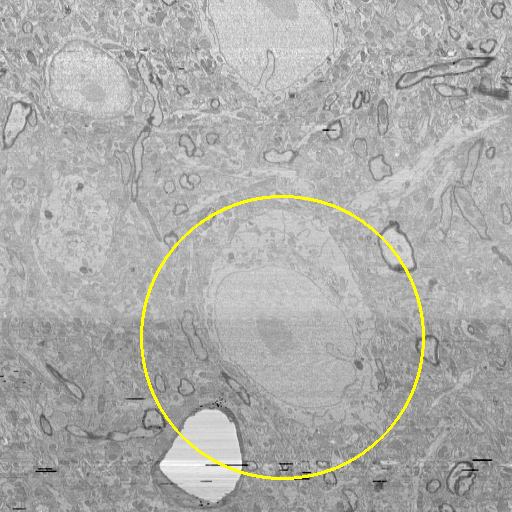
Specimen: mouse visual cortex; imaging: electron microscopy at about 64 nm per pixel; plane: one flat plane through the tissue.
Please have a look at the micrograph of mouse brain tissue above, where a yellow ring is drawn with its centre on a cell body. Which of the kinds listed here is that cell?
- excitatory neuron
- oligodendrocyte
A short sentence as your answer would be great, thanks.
At the centre of the ring sits an excitatory neuron.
